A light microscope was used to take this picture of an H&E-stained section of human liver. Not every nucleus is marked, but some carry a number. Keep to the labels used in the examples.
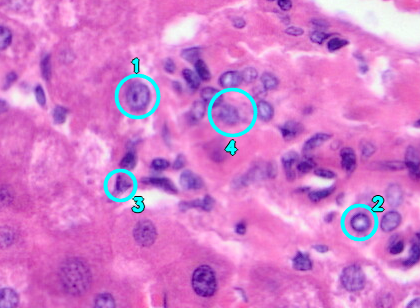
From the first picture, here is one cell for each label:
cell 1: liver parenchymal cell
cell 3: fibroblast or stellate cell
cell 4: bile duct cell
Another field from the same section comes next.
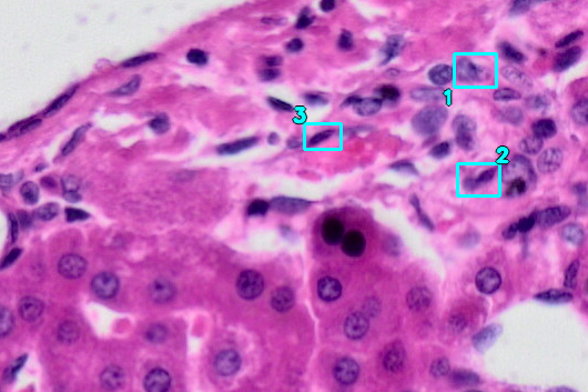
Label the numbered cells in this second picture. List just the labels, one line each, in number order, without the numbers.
bile duct cell
fibroblast or stellate cell
fibroblast or stellate cell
